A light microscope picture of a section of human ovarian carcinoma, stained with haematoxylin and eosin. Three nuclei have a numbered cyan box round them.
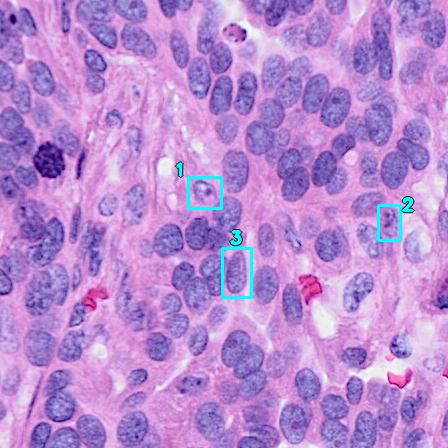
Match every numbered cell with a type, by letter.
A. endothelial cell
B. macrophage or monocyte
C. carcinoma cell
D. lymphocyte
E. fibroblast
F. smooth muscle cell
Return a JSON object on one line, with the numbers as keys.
{"1": "E", "2": "E", "3": "C"}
